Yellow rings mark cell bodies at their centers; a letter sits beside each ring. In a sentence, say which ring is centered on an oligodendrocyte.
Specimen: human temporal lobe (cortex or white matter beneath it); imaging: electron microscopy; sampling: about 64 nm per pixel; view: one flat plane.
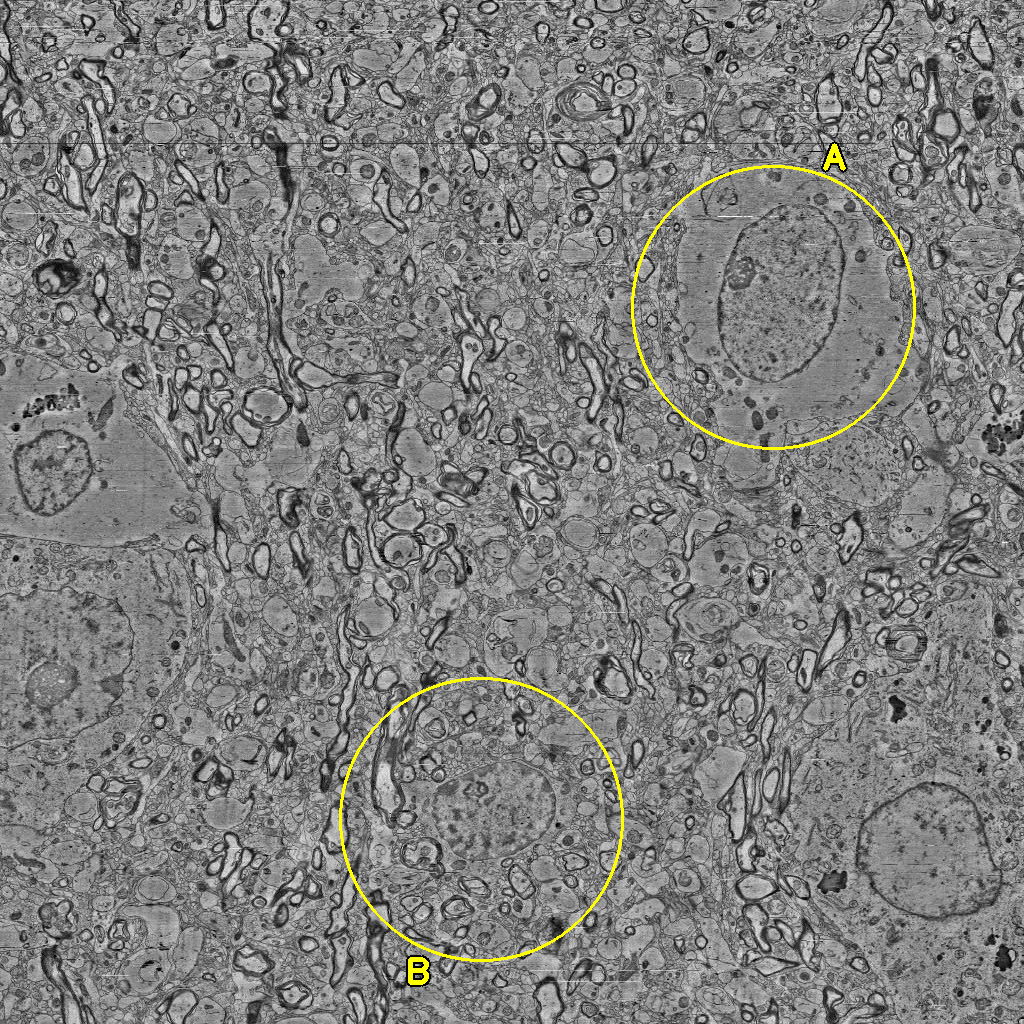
It is ring B.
